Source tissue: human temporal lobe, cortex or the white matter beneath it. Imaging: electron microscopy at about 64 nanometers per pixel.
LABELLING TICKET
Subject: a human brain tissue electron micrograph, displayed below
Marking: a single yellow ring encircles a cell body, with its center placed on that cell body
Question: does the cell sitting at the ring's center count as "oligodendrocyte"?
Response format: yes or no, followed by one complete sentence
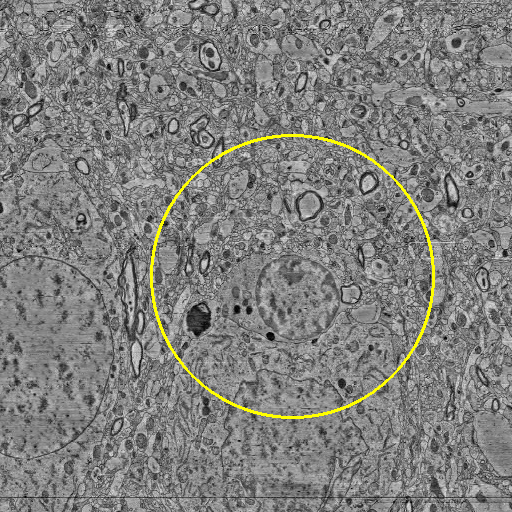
Yes, the cell at the center of the ring in the picture is of that kind.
